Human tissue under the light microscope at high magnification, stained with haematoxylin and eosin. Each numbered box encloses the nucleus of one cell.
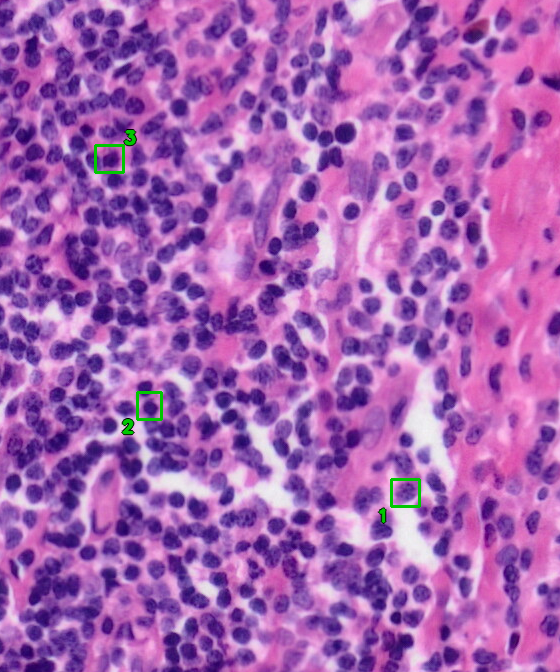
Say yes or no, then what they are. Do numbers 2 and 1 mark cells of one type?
No, cell 2 is a small lymphocyte and cell 1 is a plasma cell.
